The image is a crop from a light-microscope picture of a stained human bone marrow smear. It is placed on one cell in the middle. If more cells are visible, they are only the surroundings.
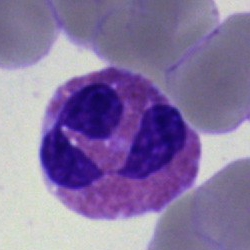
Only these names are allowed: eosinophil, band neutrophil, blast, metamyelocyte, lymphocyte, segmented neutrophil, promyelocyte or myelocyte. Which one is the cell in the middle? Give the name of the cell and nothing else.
eosinophil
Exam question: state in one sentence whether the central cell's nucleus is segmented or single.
The nucleus here is split into two or more lobes, not one.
